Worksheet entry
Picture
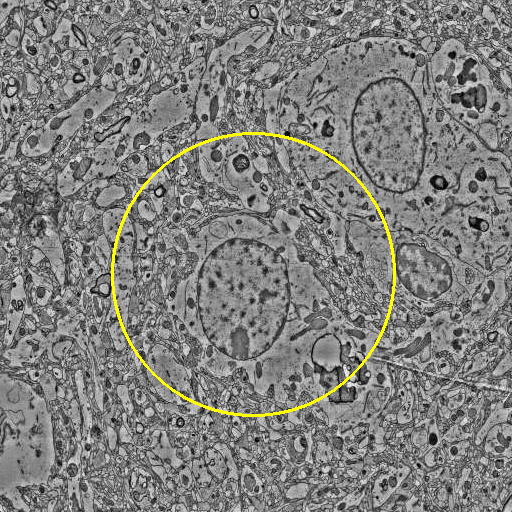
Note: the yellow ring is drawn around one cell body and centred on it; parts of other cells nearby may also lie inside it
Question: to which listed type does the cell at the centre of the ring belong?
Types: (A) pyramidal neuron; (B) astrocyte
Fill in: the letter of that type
B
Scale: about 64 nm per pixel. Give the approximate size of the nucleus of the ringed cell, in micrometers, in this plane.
The nucleus of the ringed cell is approximately 8 by 6 micrometres in this plane.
